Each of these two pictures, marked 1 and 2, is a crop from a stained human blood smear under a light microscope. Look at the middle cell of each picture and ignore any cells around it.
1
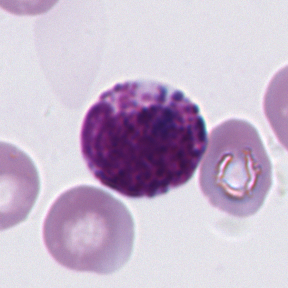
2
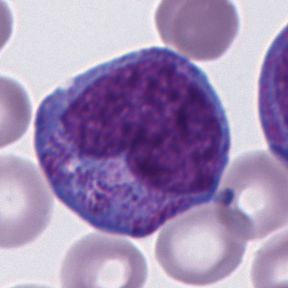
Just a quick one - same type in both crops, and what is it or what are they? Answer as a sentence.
No, cell 1 is a basophil, and cell 2 is a promyelocyte.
